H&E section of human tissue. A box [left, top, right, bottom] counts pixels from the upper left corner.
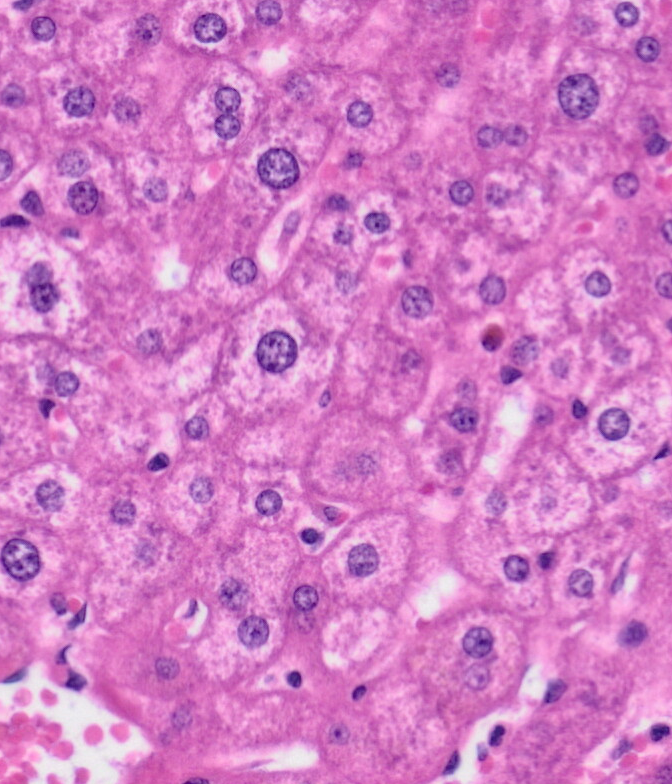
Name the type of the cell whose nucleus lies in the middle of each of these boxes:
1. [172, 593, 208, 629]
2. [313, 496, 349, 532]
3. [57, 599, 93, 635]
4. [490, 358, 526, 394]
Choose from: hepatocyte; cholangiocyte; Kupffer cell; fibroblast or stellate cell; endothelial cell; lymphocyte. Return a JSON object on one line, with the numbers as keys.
{"1": "Kupffer cell", "2": "Kupffer cell", "3": "endothelial cell", "4": "fibroblast or stellate cell"}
